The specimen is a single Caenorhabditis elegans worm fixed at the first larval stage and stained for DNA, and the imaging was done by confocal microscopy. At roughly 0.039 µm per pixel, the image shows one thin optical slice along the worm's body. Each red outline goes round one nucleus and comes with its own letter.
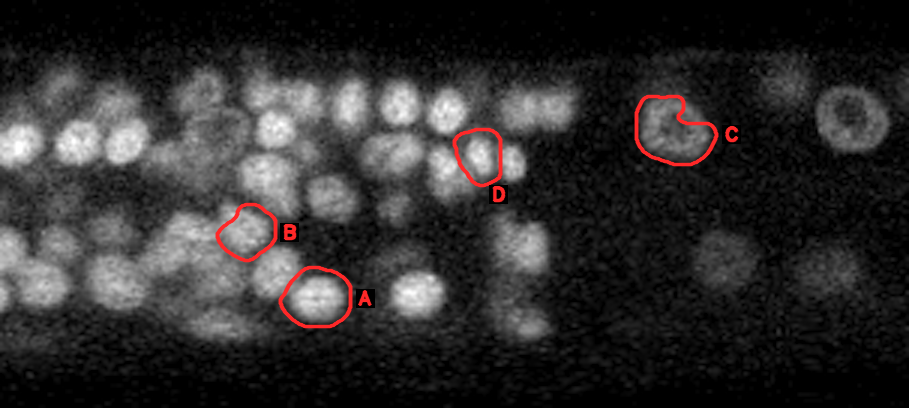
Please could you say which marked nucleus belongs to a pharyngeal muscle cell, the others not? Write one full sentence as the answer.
The one from a pharyngeal muscle cell is B.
